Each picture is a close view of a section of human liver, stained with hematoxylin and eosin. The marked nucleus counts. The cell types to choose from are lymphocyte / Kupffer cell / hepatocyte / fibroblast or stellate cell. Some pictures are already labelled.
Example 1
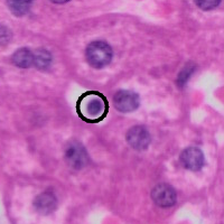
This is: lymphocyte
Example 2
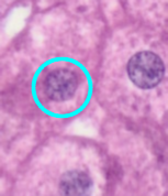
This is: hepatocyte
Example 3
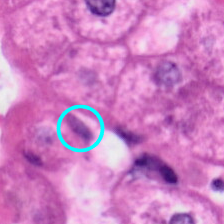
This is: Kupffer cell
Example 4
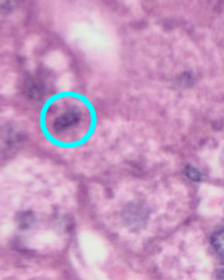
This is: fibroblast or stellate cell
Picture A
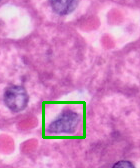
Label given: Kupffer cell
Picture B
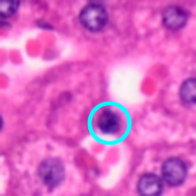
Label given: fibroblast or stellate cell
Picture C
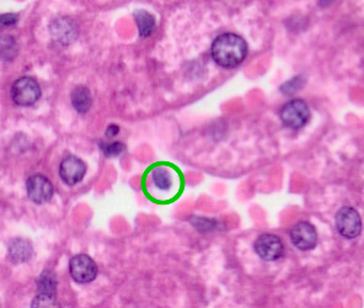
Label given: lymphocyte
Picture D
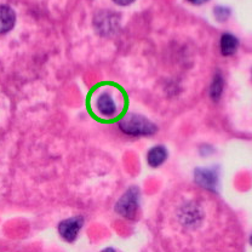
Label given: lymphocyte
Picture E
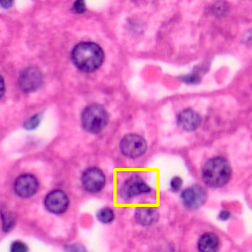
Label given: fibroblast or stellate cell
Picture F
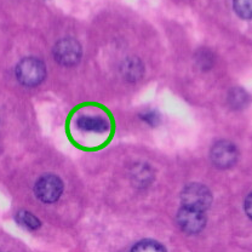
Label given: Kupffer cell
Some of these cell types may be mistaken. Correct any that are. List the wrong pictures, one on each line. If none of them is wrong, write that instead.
F is labelled Kupffer cell; correct label: lymphocyte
